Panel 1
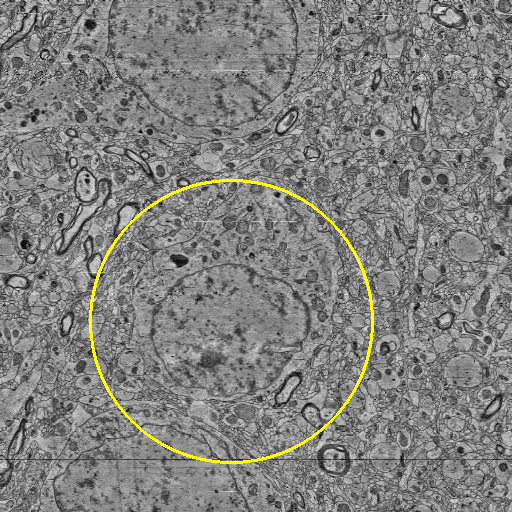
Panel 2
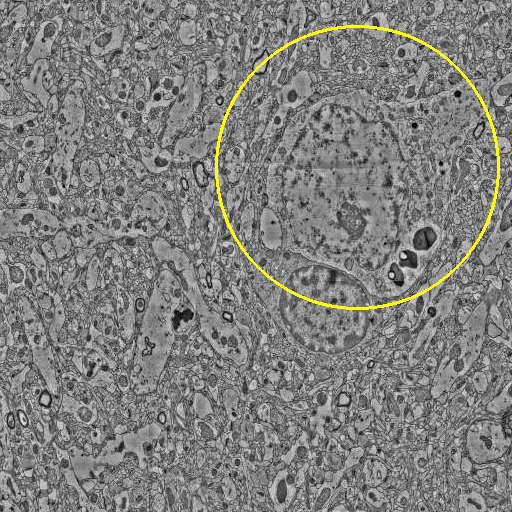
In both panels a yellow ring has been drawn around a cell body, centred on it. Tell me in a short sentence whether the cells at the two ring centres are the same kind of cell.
Yes, they are the same kind of cell.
